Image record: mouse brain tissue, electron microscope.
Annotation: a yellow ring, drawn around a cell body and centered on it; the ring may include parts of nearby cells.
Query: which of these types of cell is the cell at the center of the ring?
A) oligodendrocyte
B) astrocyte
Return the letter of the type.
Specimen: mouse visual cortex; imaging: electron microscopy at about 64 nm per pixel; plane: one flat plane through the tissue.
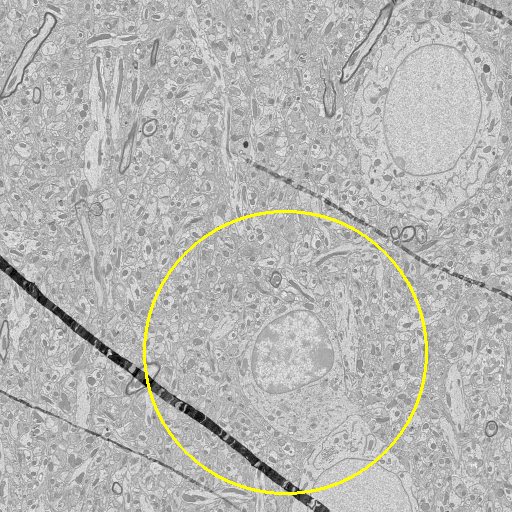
A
